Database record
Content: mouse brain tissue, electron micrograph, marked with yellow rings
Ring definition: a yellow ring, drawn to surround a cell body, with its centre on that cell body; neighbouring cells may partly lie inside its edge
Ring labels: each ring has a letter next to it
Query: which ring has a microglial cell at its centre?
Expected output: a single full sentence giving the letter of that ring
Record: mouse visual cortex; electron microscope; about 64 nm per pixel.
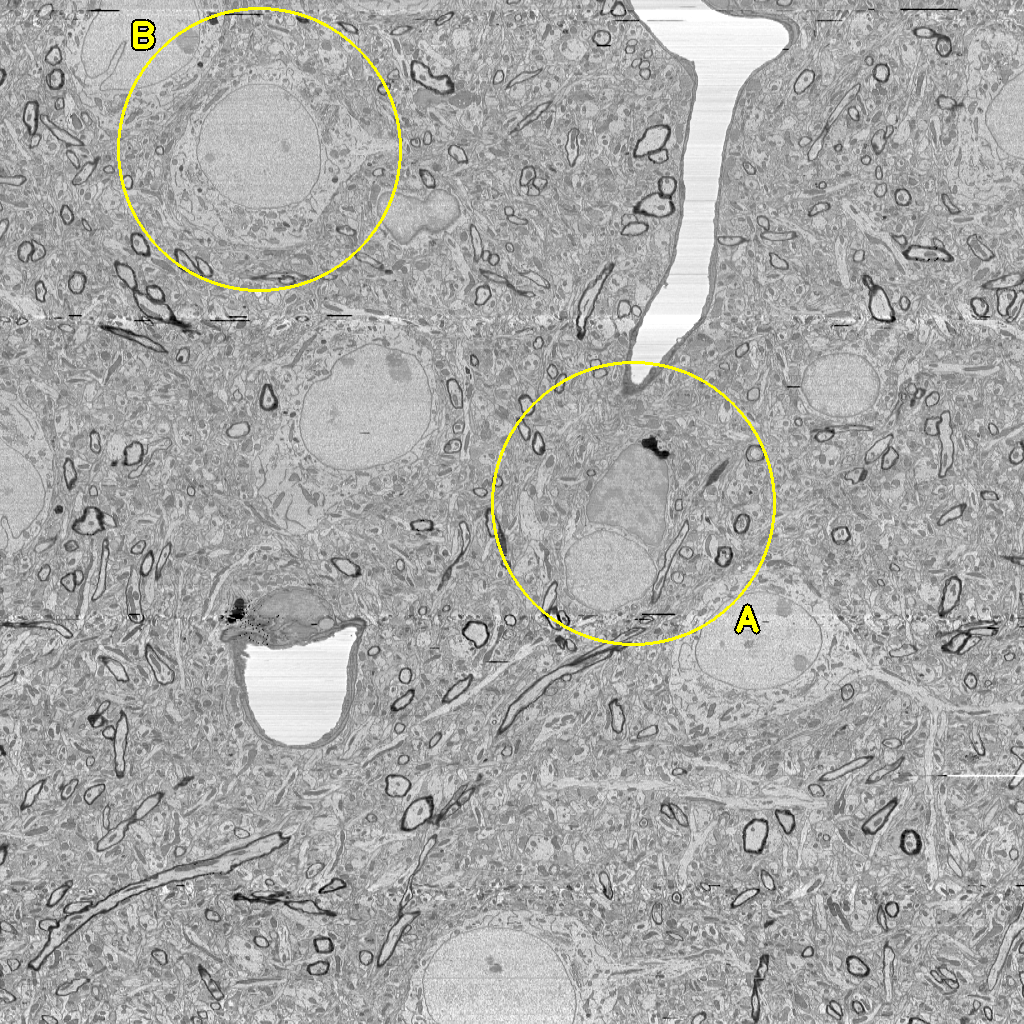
In the picture, the cell being queried lies at the centre of ring A.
